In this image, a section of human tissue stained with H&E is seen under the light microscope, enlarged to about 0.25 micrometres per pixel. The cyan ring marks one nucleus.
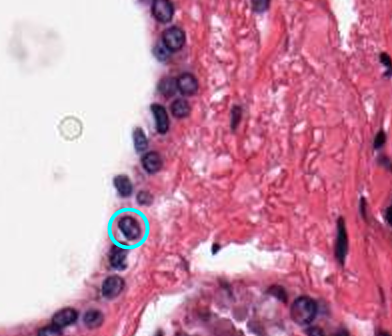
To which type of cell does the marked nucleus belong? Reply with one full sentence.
In this picture it is a thyroid follicular cell whose nucleus is marked.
